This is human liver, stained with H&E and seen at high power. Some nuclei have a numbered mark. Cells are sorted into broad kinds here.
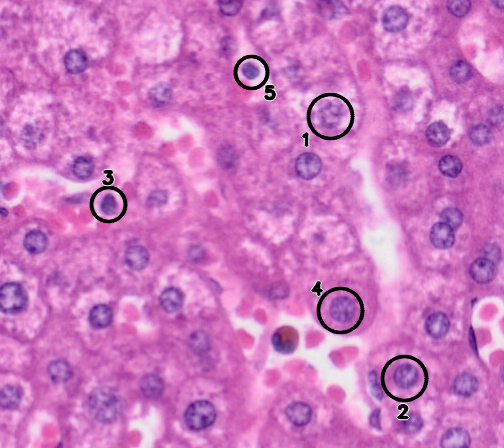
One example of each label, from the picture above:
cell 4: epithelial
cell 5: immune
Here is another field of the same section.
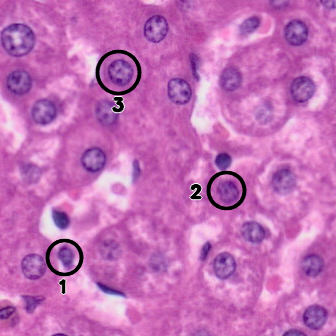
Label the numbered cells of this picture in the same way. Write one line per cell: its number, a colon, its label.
1: immune
2: epithelial
3: epithelial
